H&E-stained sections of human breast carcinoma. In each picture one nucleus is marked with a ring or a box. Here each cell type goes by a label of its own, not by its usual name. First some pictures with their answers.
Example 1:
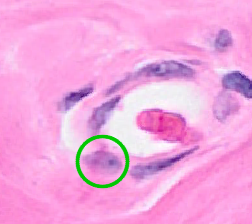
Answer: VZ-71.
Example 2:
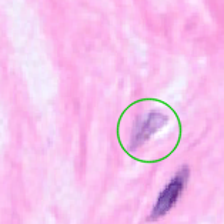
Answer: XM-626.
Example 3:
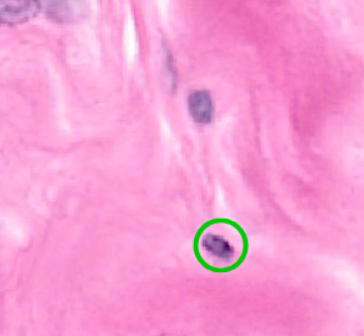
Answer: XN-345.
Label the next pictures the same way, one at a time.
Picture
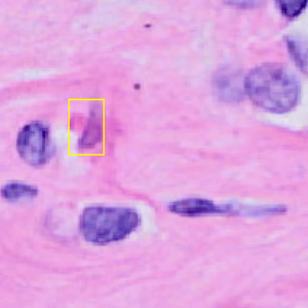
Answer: VZ-71.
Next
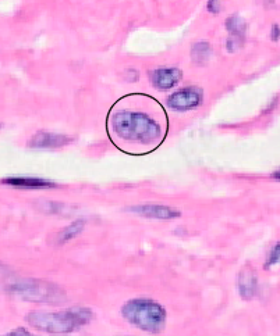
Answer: VZ-71.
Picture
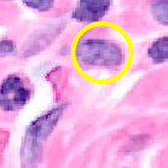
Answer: VZ-71.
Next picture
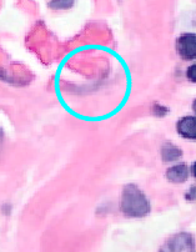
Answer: VZ-71.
